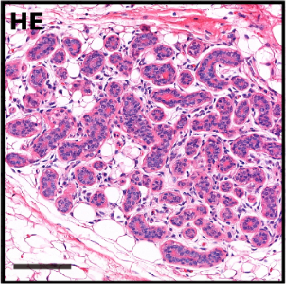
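Histologically normal breast tissue showing a lobule made of many small, closely packed acini. Thin pink stroma separates the acini, and clear fat cells lie at the edge of the lobule in the lower part of the field.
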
